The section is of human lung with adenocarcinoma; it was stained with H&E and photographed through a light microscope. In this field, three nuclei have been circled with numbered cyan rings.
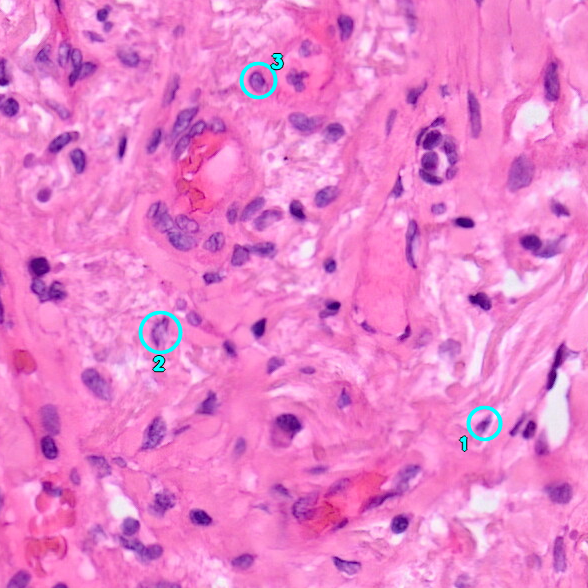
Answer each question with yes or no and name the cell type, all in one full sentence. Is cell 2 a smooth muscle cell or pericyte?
No, at number 2 sits a fibroblast, not a smooth muscle cell or pericyte.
